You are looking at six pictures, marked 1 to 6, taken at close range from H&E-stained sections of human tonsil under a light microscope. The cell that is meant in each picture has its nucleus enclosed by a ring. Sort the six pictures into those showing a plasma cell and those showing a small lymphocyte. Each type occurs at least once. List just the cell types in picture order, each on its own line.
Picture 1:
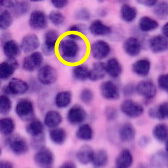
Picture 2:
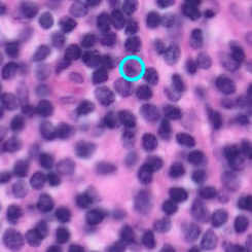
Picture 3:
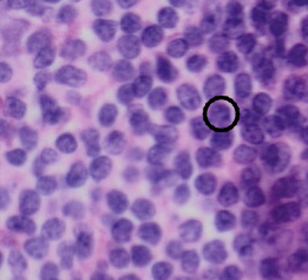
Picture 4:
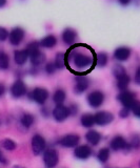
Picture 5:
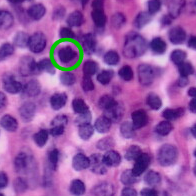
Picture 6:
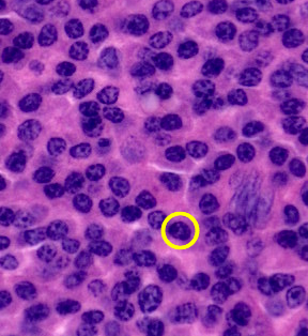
small lymphocyte
small lymphocyte
small lymphocyte
small lymphocyte
plasma cell
plasma cell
